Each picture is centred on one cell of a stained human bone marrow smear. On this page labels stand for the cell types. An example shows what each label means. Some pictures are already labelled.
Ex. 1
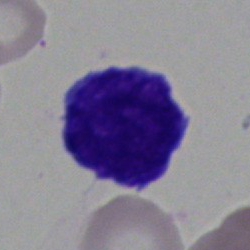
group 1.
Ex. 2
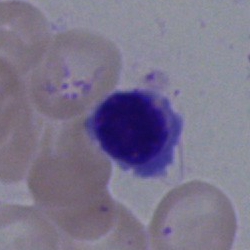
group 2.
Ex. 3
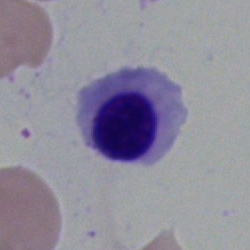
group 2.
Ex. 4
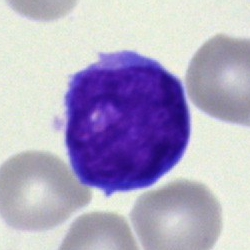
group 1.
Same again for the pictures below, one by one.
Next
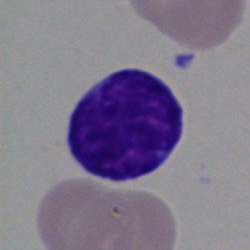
group 1.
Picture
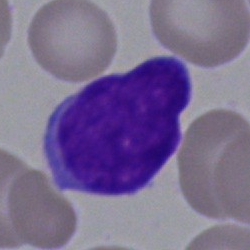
group 1.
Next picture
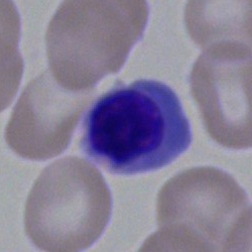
group 2.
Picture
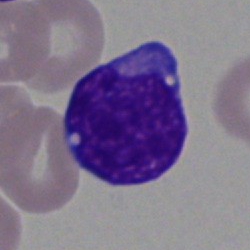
group 1.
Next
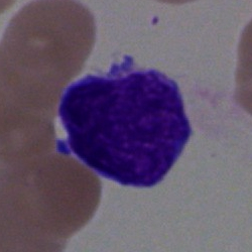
group 1.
